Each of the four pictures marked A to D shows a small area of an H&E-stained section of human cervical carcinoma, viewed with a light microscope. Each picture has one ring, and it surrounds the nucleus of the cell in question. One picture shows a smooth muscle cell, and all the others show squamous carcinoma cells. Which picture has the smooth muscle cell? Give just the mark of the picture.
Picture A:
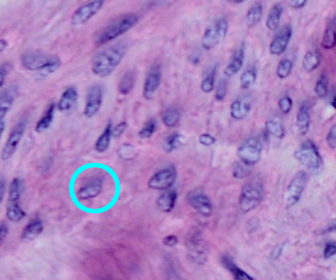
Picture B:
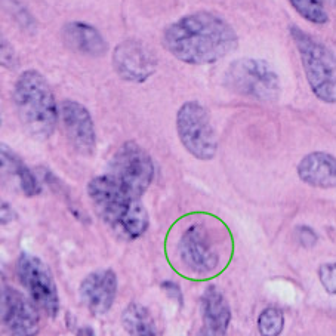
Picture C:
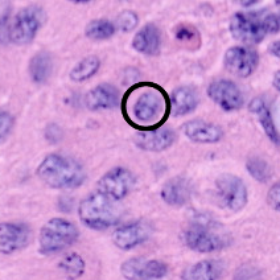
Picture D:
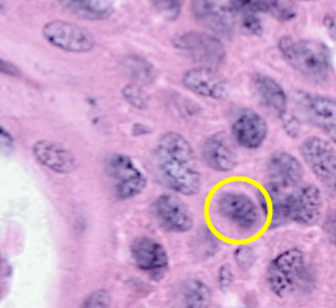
A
